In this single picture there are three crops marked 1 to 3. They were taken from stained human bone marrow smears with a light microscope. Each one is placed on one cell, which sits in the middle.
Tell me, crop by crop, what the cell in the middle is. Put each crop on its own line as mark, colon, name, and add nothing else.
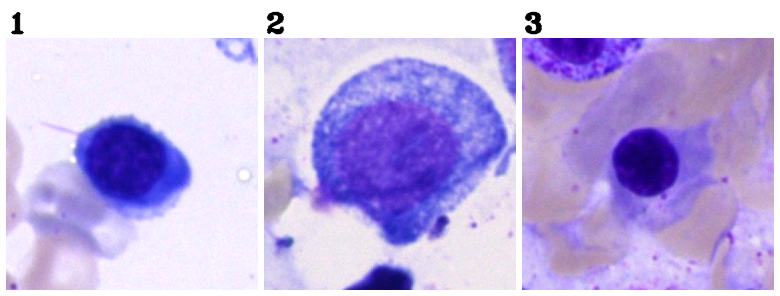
1: erythroblast
2: promyelocyte
3: erythroblast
